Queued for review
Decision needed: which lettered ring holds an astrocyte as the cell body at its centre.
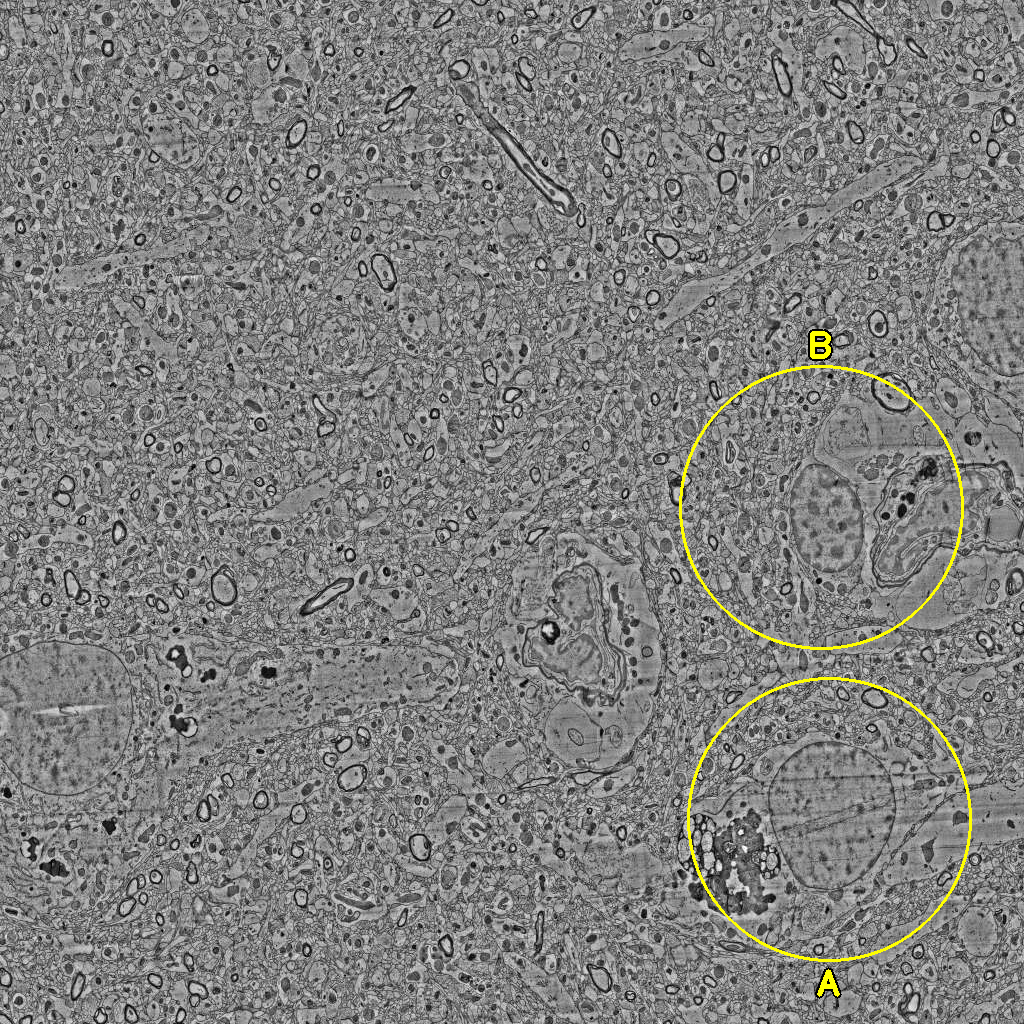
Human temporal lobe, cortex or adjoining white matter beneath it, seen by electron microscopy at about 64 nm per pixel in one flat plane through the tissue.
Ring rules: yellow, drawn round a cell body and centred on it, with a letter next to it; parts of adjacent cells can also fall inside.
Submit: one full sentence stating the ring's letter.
The cell asked for is the one at the centre of ring A in the picture.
